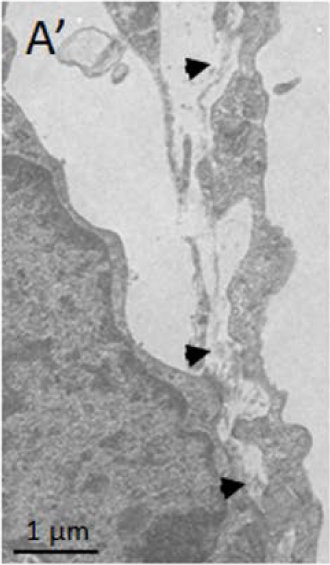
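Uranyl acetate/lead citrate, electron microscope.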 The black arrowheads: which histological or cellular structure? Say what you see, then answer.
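Basement membrane materials. Arrowheads point to thin, patchy, grey material at the base of a flattened cell. The marked material lies beneath the cell, on the side away from the large empty lumen.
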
